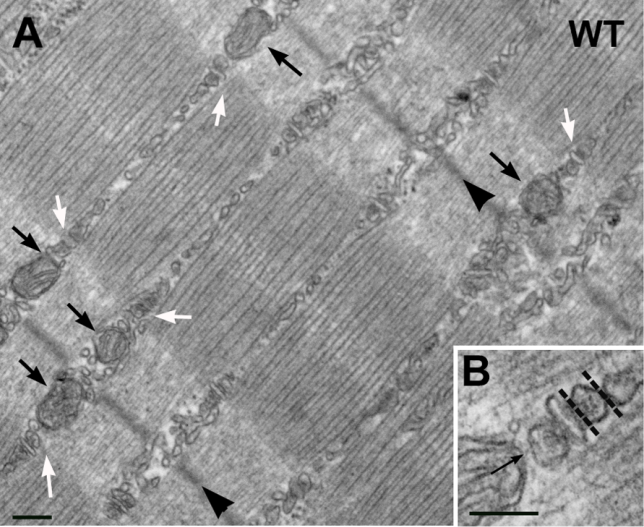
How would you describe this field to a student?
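This is a longitudinal section of a skeletal muscle fibre, with parallel bundles of fine myofilaments running diagonally and crossed by thin dark transverse lines. On either side of these lines, in the paler bands, lie oval intermyofibrillar mitochondria with clear internal cristae. Beside them run small membrane profiles in short rows, the triads, whose sacs flank a central tubule. The organelles form transverse rows between myofibrils. An inset enlarges a triad next to a mitochondrion, where a tiny dense bridge joins the two and the lateral sacs appear fairly wide.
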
